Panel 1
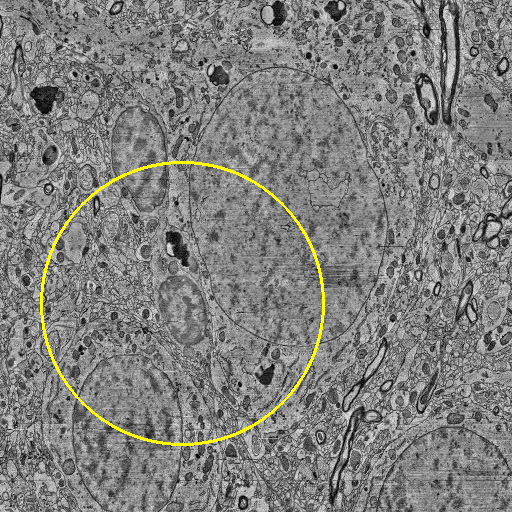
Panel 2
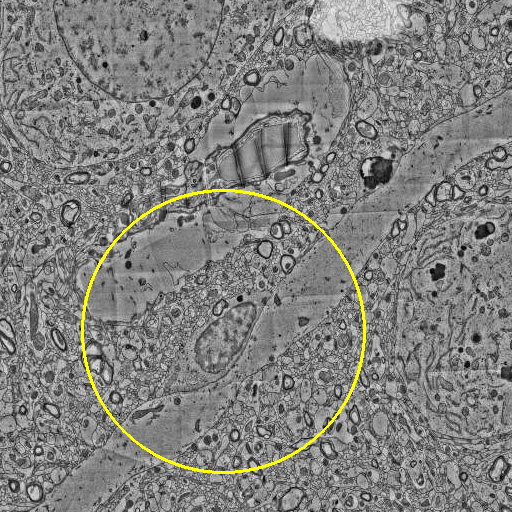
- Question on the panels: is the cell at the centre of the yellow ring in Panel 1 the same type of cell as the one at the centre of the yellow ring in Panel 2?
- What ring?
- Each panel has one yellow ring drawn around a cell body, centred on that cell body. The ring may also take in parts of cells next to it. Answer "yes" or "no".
yes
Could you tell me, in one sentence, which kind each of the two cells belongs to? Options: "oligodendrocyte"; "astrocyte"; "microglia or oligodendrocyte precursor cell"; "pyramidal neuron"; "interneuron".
In both pictures the ring is centred on an oligodendrocyte.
